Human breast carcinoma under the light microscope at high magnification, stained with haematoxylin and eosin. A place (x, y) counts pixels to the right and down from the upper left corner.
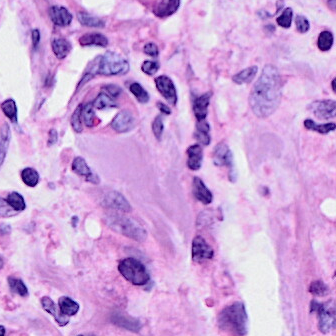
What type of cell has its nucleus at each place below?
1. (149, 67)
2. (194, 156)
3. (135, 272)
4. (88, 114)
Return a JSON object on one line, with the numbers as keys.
{"1": "lymphocyte", "2": "lymphocyte", "3": "carcinoma cell", "4": "endothelial cell"}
